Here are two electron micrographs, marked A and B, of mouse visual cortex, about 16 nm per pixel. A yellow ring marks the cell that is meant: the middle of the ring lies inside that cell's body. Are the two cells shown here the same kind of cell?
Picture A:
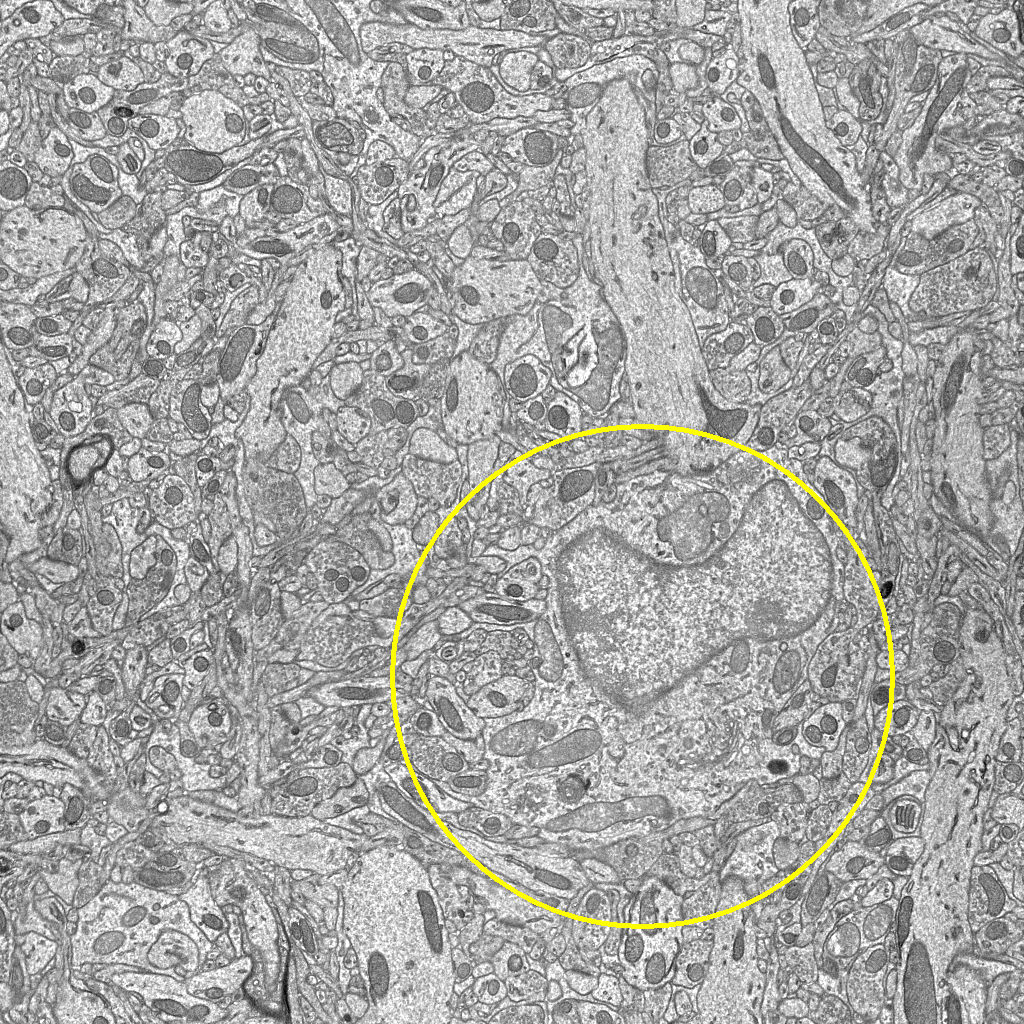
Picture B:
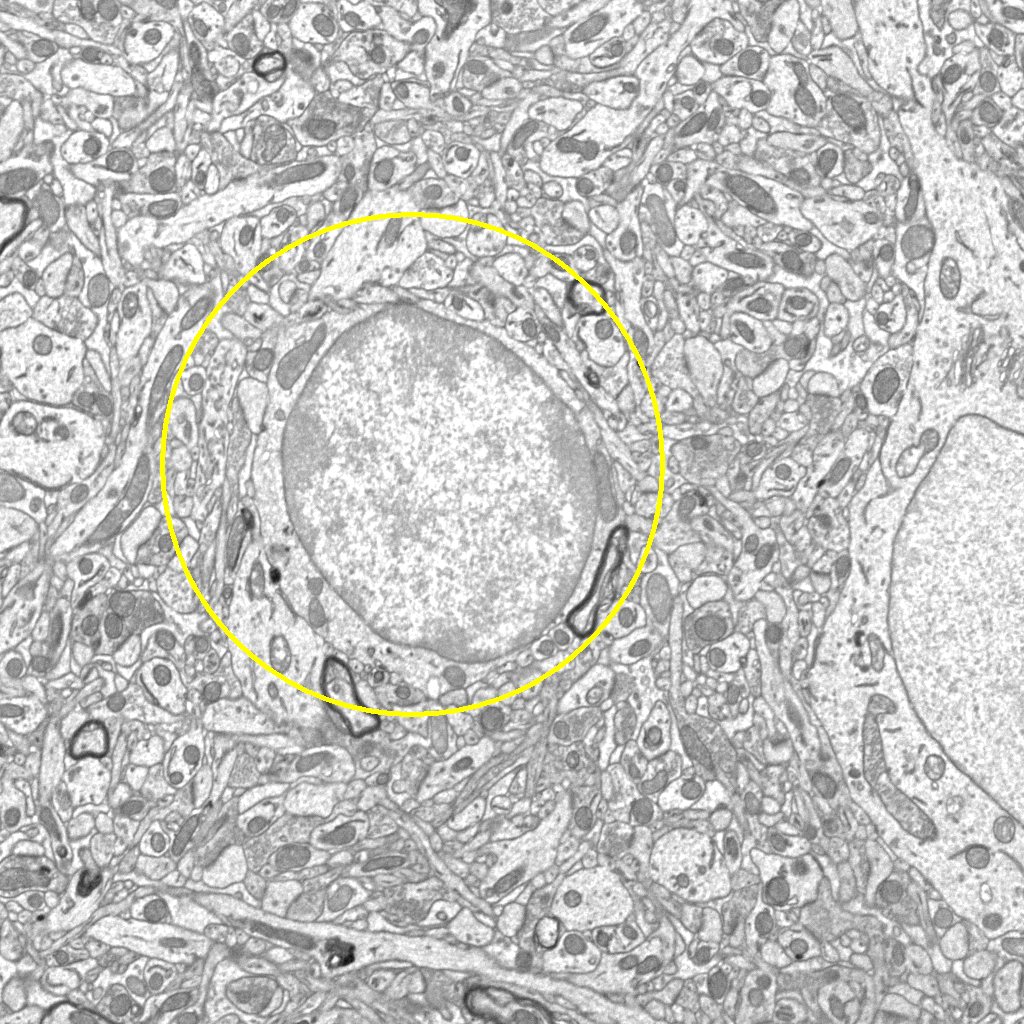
No; the cell in picture A is an astrocyte, while the one in picture B is an oligodendrocyte.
